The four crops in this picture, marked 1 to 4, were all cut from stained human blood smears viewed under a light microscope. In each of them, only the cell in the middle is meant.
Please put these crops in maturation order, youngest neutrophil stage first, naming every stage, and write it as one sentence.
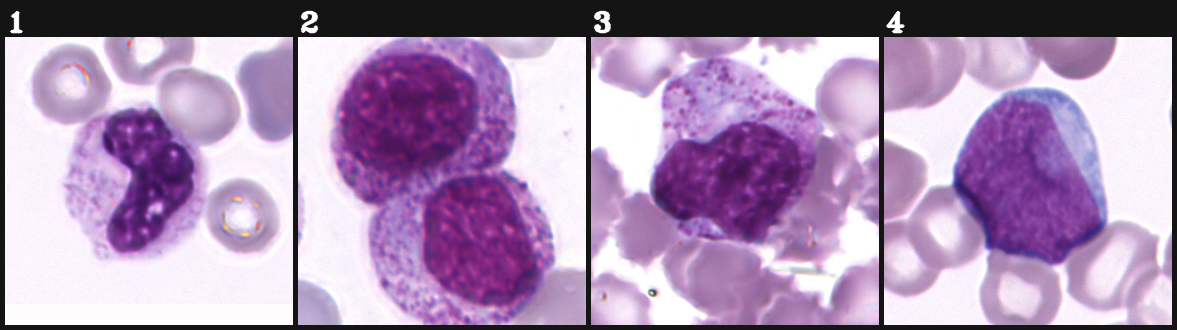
Placed in order of rising maturity, the crops stand as crop 4 (a blast), crop 2 (a myelocyte), crop 3 (a metamyelocyte) and crop 1 (a band neutrophil).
